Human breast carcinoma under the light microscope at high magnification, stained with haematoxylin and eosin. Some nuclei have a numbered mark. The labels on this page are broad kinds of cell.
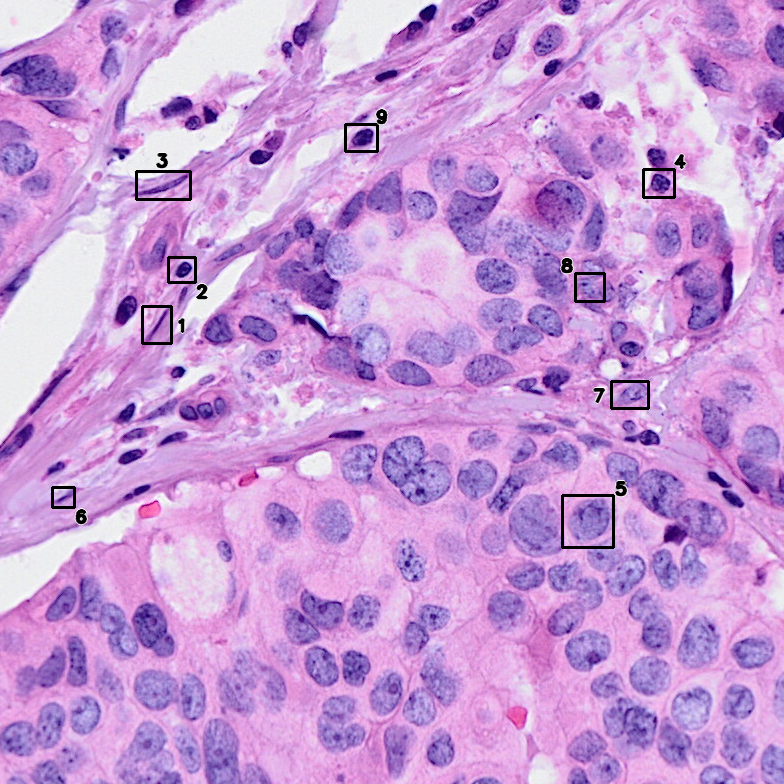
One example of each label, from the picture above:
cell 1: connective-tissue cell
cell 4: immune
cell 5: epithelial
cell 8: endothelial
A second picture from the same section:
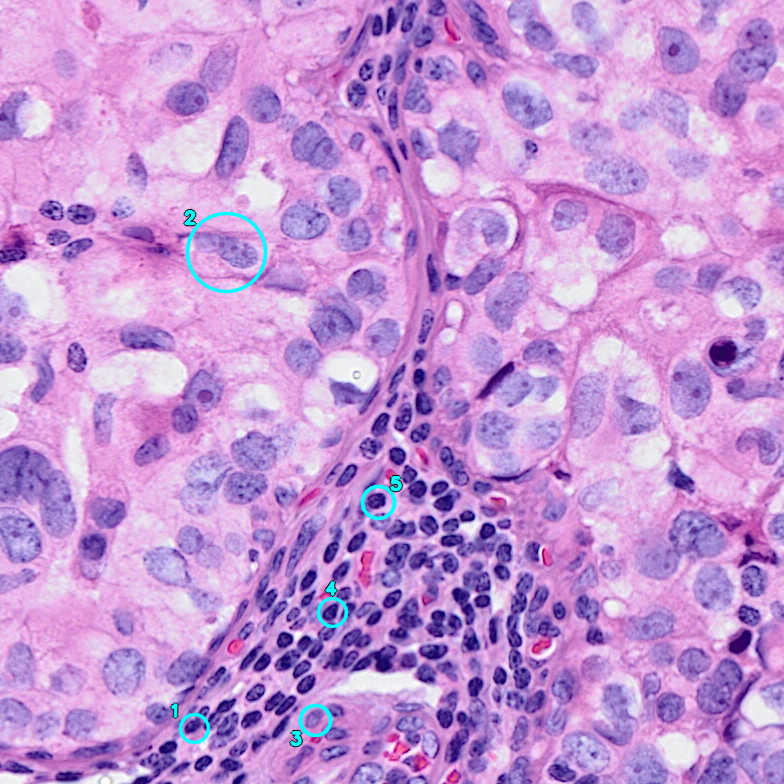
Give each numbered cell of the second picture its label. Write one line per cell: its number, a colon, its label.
1: immune
2: epithelial
3: endothelial
4: immune
5: immune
